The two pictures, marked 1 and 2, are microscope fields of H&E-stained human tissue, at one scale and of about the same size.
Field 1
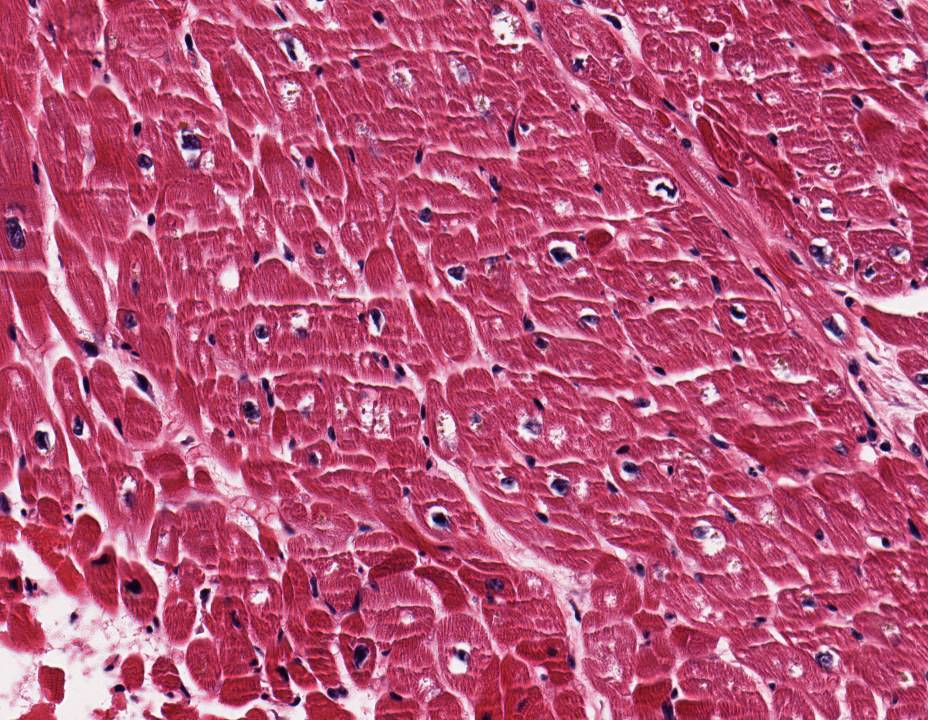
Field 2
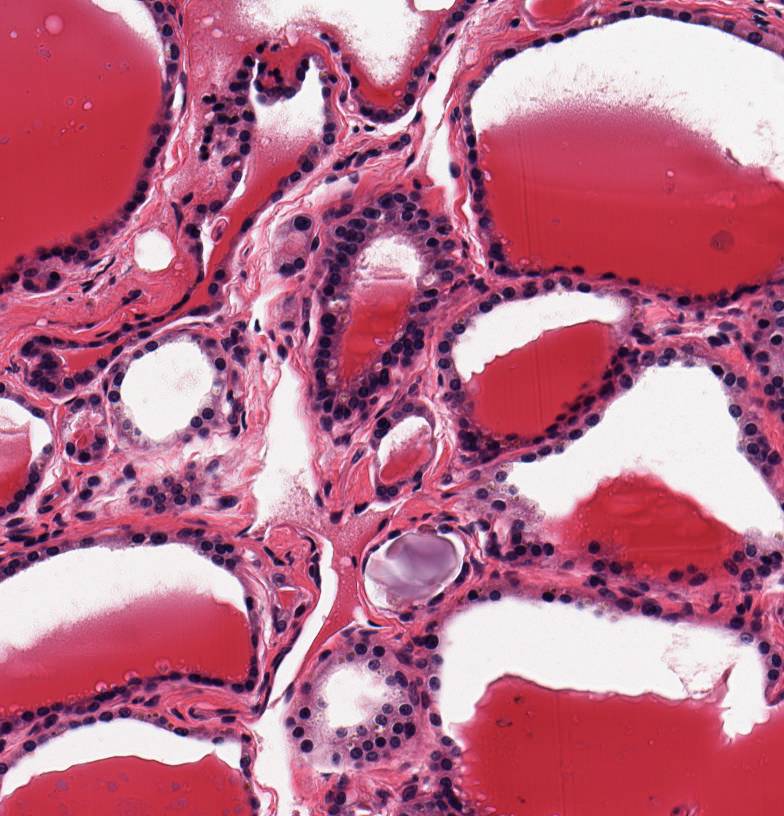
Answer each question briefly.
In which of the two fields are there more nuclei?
2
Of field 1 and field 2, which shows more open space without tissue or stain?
2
